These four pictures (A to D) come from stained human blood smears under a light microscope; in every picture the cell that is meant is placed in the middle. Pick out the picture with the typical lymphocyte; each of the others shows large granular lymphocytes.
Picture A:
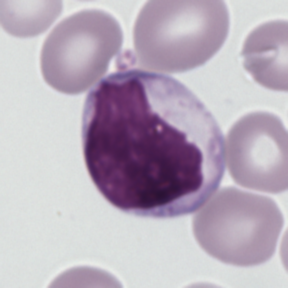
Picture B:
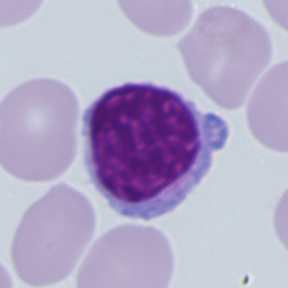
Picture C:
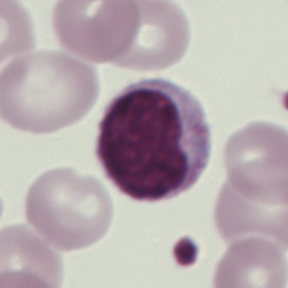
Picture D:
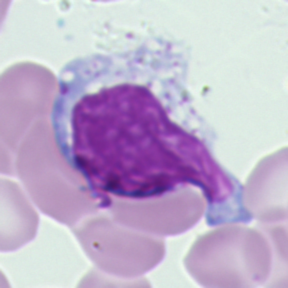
B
